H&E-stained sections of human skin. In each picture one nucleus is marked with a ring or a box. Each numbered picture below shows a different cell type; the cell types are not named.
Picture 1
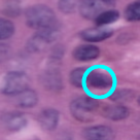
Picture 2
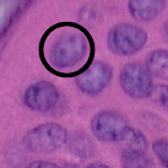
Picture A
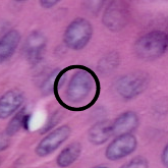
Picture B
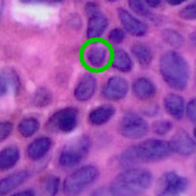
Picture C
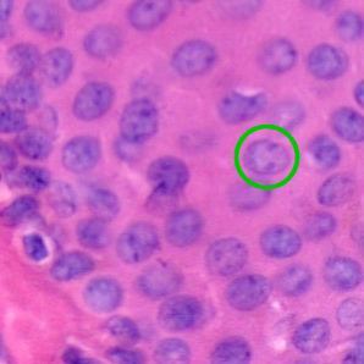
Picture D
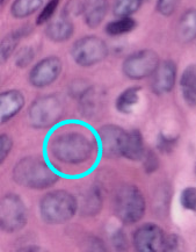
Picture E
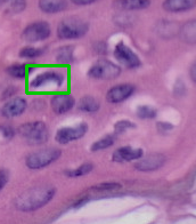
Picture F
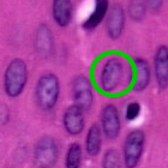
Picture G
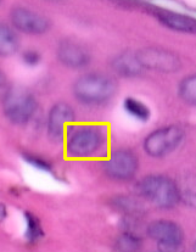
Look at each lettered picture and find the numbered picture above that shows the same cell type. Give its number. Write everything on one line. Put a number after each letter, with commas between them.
A 2, B 1, C 2, D 2, E 1, F 2, G 1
